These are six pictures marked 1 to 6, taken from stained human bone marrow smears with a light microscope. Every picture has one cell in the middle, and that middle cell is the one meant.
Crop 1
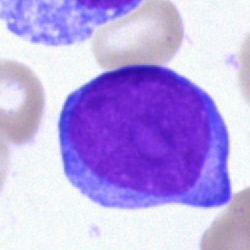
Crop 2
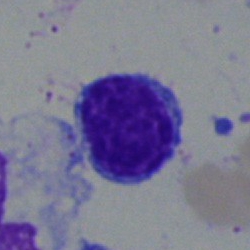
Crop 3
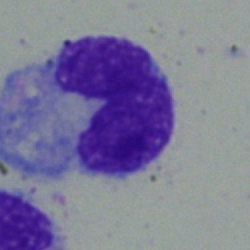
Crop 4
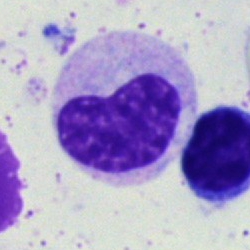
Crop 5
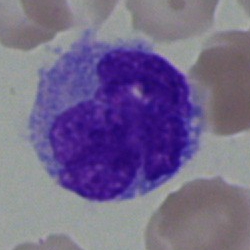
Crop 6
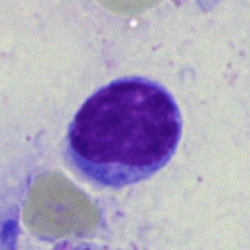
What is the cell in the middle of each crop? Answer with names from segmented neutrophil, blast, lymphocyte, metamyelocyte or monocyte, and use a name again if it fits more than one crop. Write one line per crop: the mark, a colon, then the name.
1: blast
2: lymphocyte
3: metamyelocyte
4: metamyelocyte
5: monocyte
6: lymphocyte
